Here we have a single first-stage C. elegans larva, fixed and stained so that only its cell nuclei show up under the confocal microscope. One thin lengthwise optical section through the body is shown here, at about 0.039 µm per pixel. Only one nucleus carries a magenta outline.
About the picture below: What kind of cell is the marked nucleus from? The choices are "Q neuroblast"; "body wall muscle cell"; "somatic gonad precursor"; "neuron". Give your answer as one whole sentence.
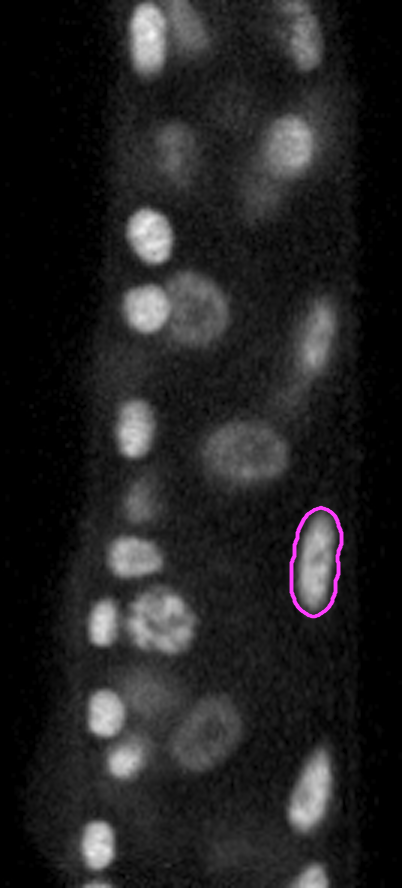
The marked nucleus is that of a body wall muscle cell.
